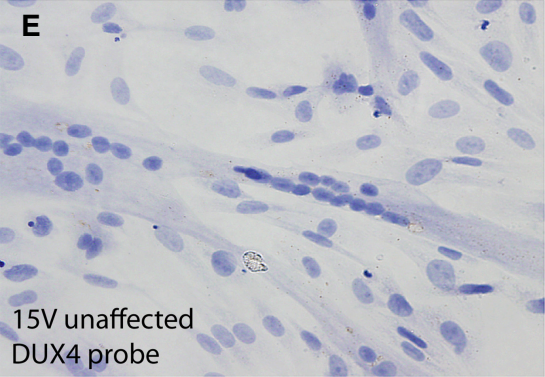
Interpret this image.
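Cultured myotubes and spindle-shaped single cells are stained pale blue. The myotubes are long and slender, with oval nuclei lined up in chains along their length. Single cells with one oval nucleus and faint cytoplasm lie scattered between them, and brown dots are scarce or missing.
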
